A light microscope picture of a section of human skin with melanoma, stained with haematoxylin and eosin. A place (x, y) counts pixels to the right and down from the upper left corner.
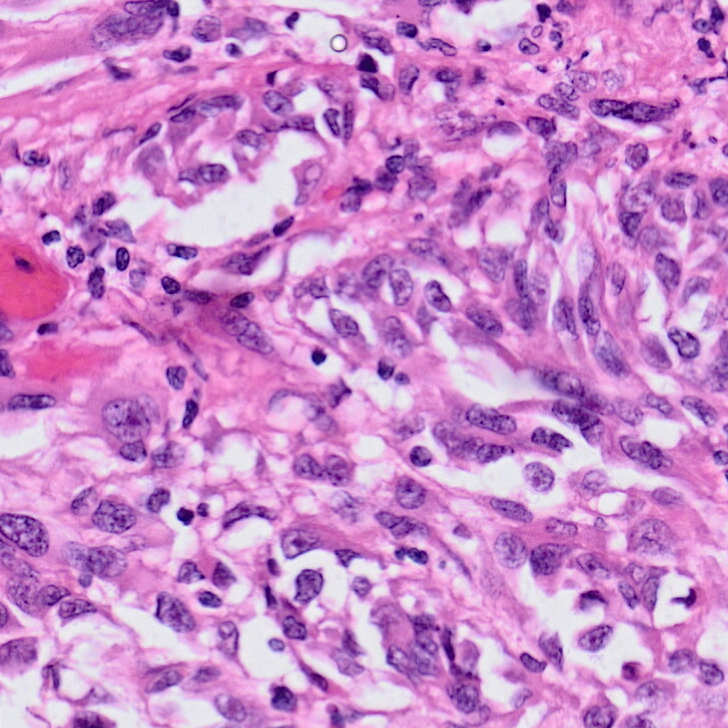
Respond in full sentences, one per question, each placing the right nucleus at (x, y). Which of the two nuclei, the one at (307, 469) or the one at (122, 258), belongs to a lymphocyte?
The nucleus of the pair that lies within a lymphocyte is at (122, 258).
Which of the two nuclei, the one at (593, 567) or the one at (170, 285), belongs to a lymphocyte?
Among the two nuclei, the one found at (170, 285) belongs to a lymphocyte.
